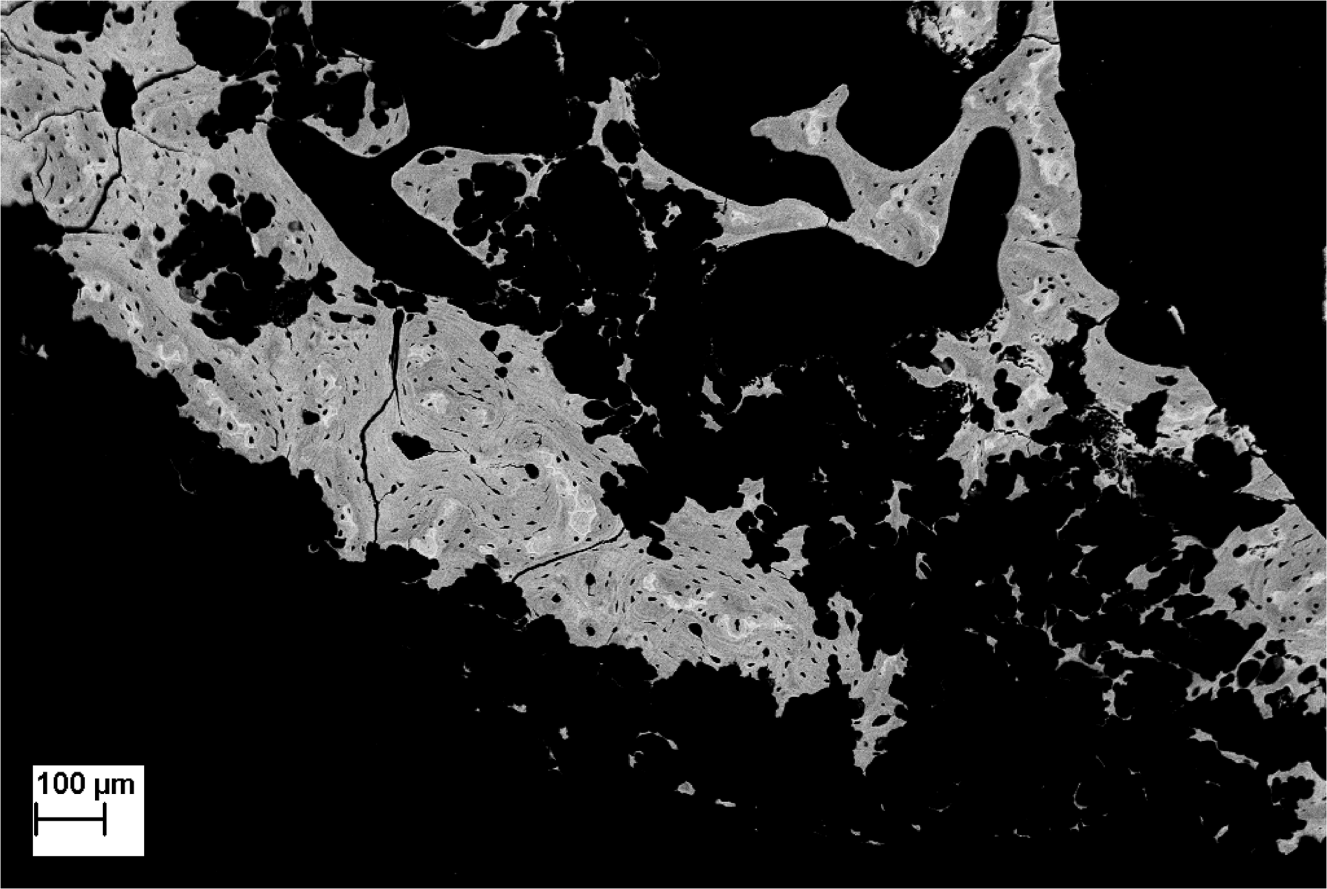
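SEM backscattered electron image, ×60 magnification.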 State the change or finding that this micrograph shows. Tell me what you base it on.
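Many dark cavities with scalloped, multi-lobed outlines lie within the grey bone matrix. Rounded voids cluster together and merge into larger irregular holes. That points to this answer: poly-lobed gaps.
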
